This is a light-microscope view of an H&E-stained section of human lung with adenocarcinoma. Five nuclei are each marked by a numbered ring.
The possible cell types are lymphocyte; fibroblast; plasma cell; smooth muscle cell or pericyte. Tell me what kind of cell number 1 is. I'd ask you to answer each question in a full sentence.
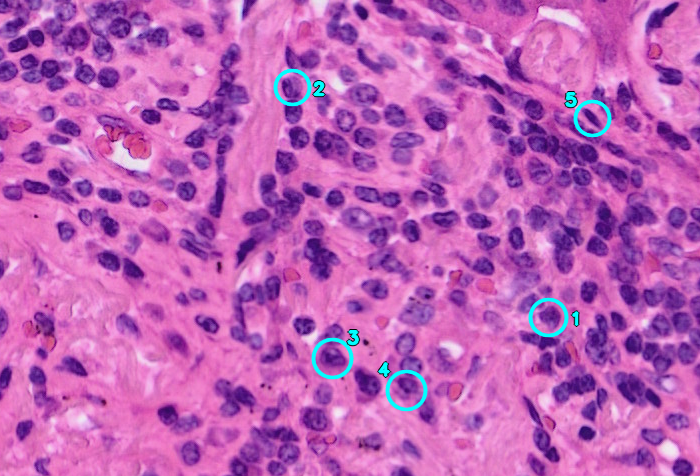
Cell 1, as marked in the section, is a lymphocyte.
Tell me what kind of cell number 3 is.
The cell pointed out by number 3 is a plasma cell.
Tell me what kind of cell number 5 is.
Cell 5 in the field is a lymphocyte.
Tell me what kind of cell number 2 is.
The cell to which the number 2 is assigned is a lymphocyte.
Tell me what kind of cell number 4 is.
The numbered cell 4 is identified here as a plasma cell.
